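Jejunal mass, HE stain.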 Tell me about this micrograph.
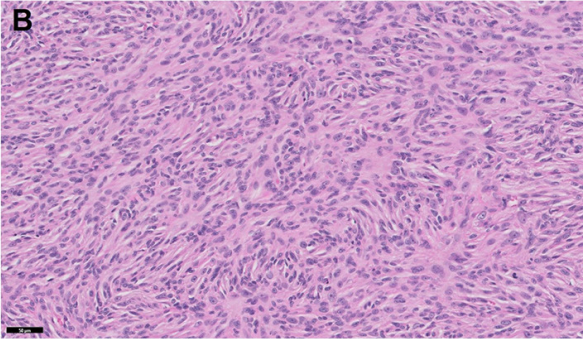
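A densely cellular field of spindle cells fills the whole view, arranged in short interlacing bundles and streams that run in different directions. The nuclei are oval to elongated, purple, and oriented along the long axis of the cells; some look plumper and more rounded where bundles are cut across. Between the nuclei lies pale pink, fine, fibrillar cytoplasm, and the borders between neighbouring cells cannot be told apart, so the cytoplasm seems to merge into a continuous wispy background. No glands or epithelium are present. This is the appearance of a spindle cell neoplasm with indistinct cell borders and wispy eosinophilic cytoplasm.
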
